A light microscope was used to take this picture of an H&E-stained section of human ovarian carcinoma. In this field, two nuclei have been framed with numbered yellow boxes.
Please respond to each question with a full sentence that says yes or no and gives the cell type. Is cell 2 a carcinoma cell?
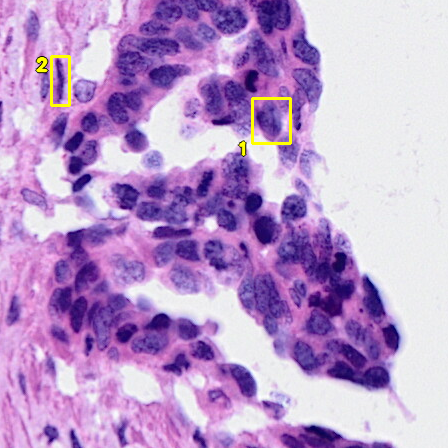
No, the cell carrying number 2 is a fibroblast rather than a carcinoma cell.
